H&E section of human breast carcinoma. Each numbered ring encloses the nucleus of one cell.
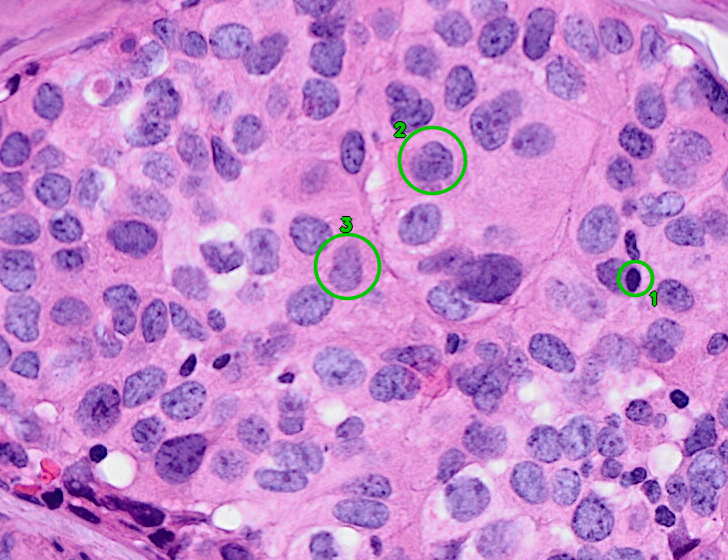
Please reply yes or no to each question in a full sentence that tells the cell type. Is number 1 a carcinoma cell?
No, it is not a carcinoma cell that bears number 1 but a lymphocyte.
